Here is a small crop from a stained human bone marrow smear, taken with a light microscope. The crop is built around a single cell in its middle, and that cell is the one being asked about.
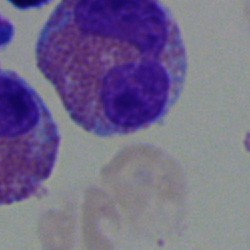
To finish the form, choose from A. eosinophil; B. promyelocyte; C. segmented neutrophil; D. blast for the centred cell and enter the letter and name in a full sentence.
The correct choice is option A, which identifies the middle cell as an eosinophil.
